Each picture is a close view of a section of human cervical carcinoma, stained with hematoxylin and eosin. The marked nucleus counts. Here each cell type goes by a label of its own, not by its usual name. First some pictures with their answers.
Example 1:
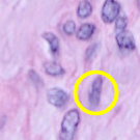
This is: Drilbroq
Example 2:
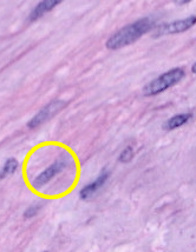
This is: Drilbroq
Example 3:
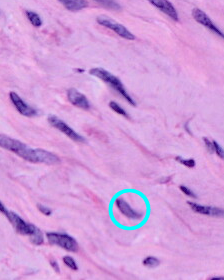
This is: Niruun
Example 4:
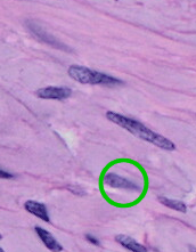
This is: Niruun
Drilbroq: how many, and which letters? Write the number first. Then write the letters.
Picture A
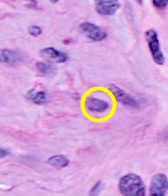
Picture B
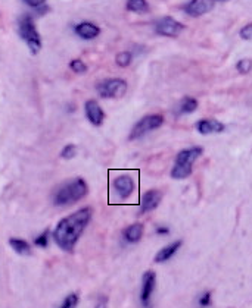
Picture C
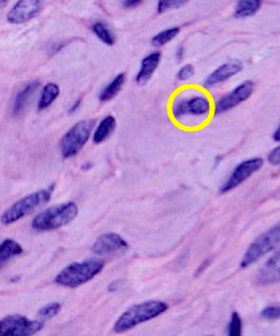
Count: 2 (A, B)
